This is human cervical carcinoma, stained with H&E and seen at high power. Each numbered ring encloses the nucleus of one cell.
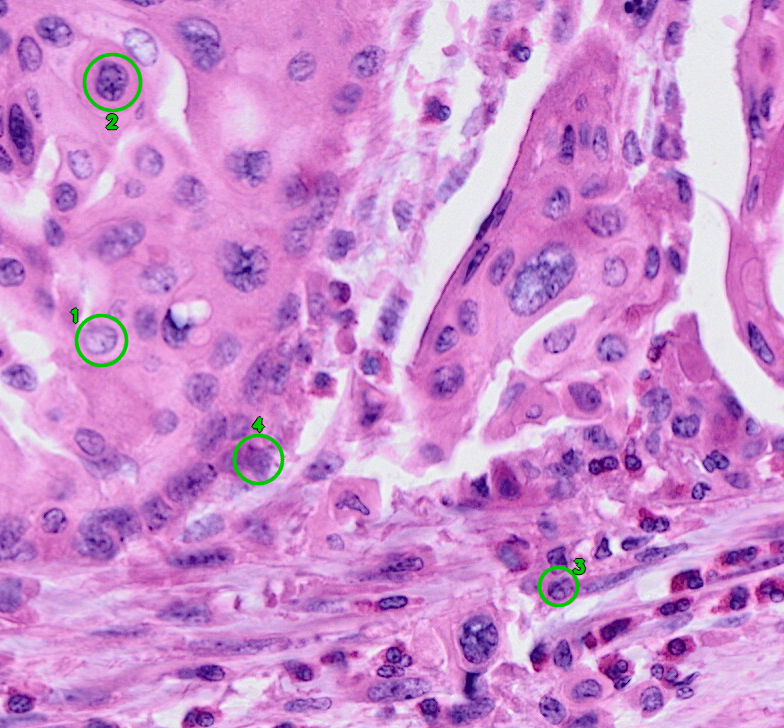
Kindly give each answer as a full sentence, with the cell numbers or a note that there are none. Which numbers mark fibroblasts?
Cell 4 is a fibroblast, while all remaining marked cells are of other types.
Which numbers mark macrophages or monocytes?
Response: cell 3 is a macrophage or monocyte, and no other numbered cell is.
